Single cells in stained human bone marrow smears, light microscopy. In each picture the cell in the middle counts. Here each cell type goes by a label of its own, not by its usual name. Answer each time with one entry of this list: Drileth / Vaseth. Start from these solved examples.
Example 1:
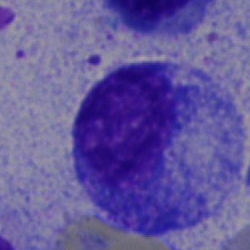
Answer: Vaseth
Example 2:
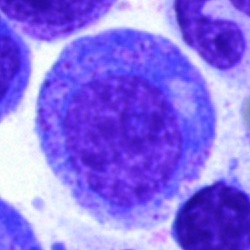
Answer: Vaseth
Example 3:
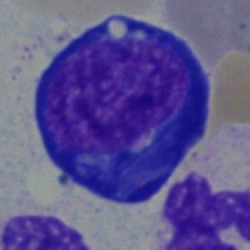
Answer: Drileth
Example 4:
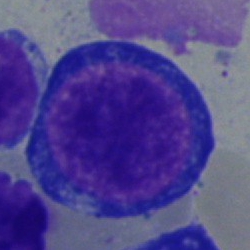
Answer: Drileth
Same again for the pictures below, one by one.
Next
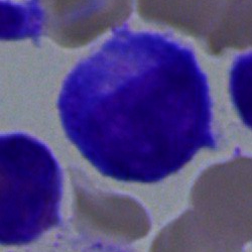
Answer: Vaseth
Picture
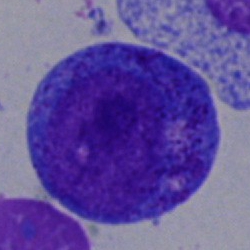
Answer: Vaseth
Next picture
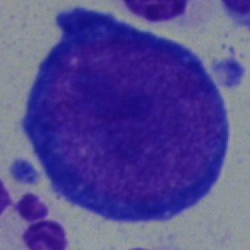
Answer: Drileth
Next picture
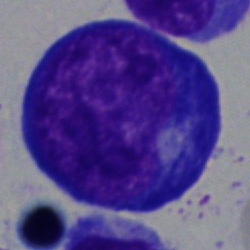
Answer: Drileth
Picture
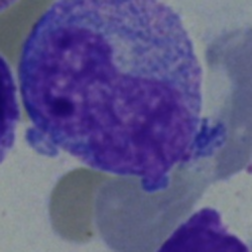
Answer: Vaseth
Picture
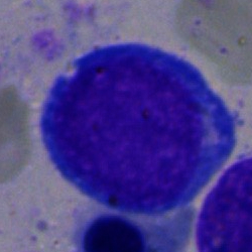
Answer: Drileth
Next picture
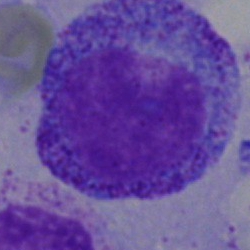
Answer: Vaseth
